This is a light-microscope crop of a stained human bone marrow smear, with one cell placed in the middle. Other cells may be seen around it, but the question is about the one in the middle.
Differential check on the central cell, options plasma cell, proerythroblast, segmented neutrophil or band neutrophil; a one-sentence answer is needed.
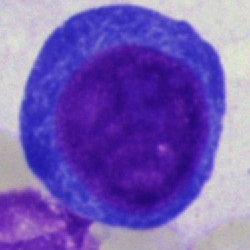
In the central position of this crop, the cell is a proerythroblast.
